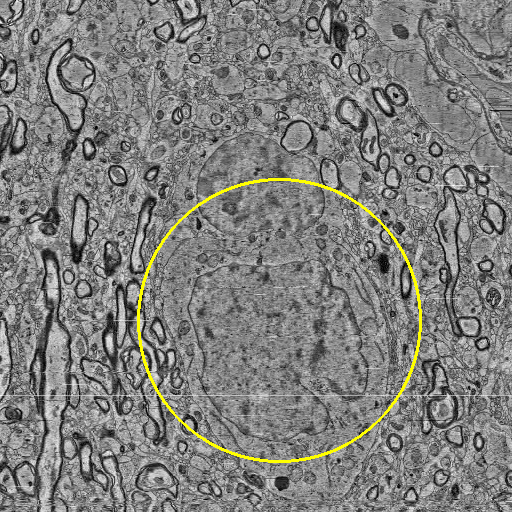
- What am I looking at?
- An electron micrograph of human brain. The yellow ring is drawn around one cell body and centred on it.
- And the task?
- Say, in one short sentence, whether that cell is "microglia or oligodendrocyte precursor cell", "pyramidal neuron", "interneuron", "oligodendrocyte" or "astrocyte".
The cell in the middle of the ring is an interneuron.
